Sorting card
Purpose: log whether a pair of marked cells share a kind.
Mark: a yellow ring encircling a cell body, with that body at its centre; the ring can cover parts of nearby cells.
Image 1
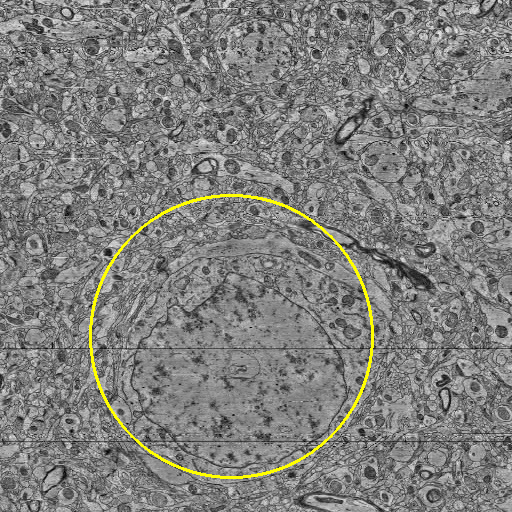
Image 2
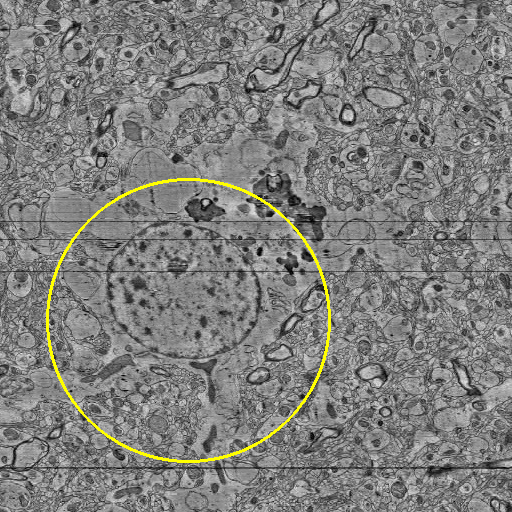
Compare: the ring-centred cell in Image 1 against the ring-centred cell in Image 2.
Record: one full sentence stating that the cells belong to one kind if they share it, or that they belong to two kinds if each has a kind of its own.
Across Images 1 and 2, the two ring-centred cells belong to two kinds.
